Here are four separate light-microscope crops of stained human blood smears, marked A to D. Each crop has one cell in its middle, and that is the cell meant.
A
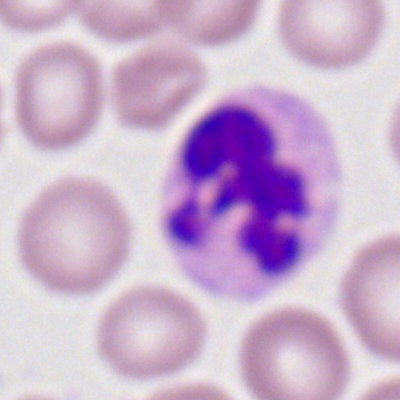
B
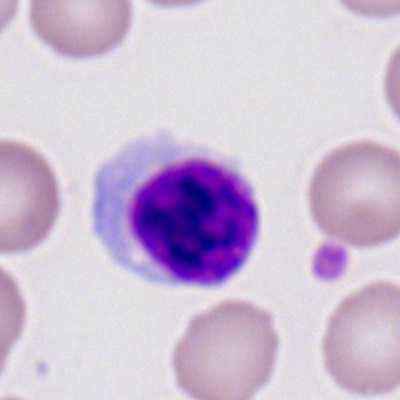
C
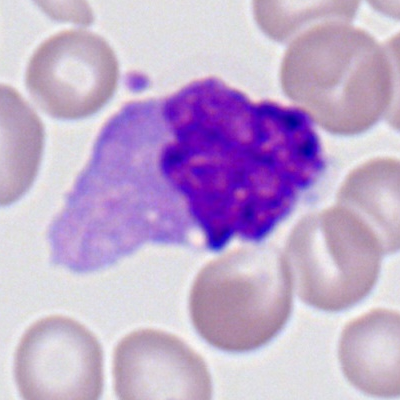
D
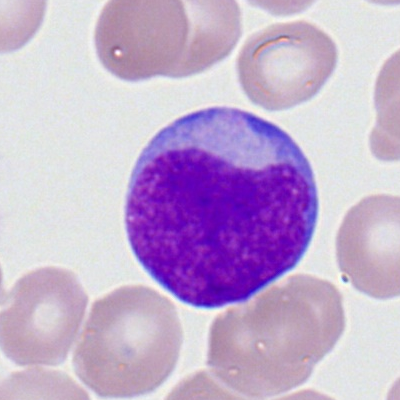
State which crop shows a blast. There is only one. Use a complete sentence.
So the crop with a blast at its center is crop D.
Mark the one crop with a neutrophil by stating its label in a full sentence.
The one crop that shows a neutrophil is crop A.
